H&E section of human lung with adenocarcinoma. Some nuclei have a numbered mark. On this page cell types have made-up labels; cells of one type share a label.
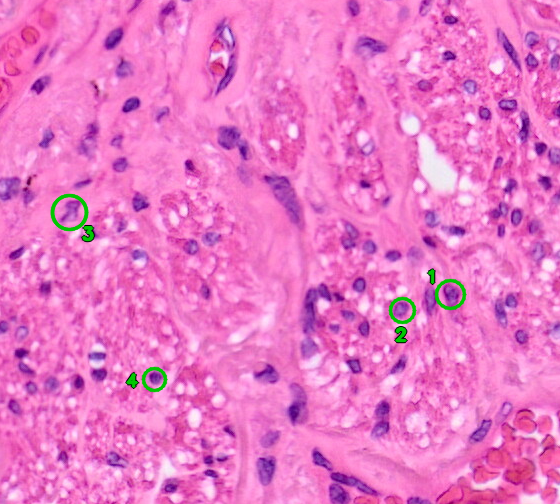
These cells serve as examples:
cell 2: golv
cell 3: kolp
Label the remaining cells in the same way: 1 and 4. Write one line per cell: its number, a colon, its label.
1: golv
4: golv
